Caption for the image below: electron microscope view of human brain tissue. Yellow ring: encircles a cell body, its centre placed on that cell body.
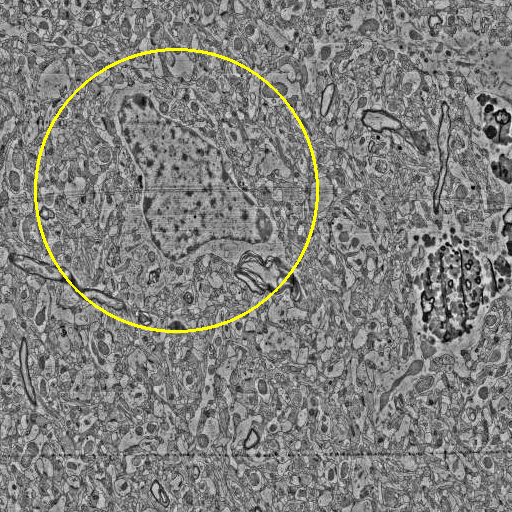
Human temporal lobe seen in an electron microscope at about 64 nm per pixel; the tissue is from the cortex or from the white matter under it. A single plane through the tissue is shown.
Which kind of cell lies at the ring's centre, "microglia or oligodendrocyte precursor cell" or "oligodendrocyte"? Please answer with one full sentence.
The picture shows a microglial cell or oligodendrocyte precursor cell at the centre of the yellow ring.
